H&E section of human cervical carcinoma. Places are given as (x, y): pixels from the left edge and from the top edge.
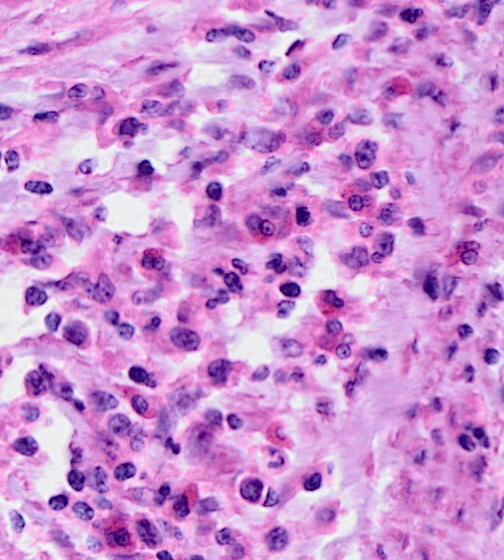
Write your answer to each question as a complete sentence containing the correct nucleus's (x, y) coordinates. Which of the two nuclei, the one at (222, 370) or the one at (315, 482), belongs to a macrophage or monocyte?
Out of the two, it is the nucleus at (222, 370) that belongs to a macrophage or monocyte.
